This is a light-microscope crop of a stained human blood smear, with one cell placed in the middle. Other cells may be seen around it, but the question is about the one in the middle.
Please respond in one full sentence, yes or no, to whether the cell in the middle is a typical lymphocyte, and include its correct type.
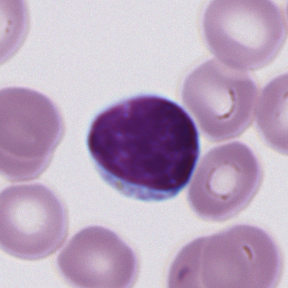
Yes, the cell lying in the middle is a typical lymphocyte.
